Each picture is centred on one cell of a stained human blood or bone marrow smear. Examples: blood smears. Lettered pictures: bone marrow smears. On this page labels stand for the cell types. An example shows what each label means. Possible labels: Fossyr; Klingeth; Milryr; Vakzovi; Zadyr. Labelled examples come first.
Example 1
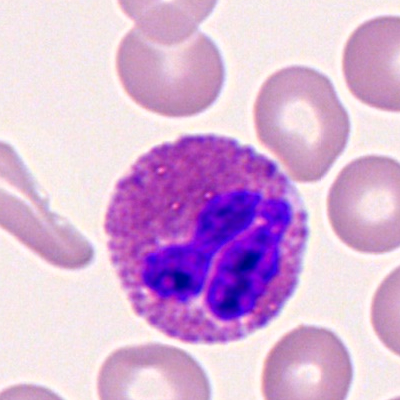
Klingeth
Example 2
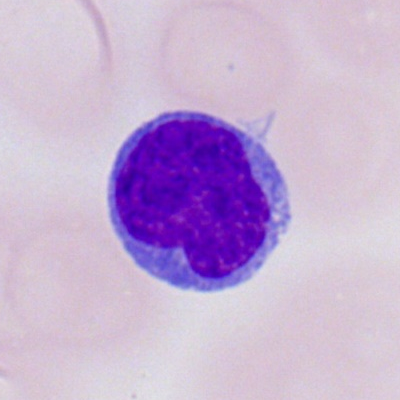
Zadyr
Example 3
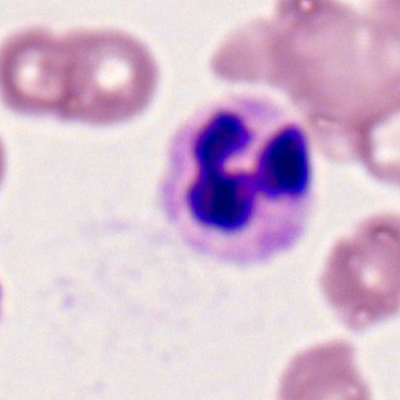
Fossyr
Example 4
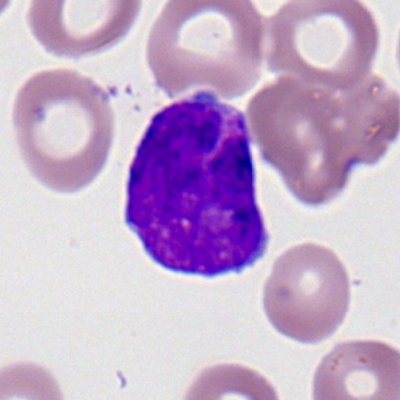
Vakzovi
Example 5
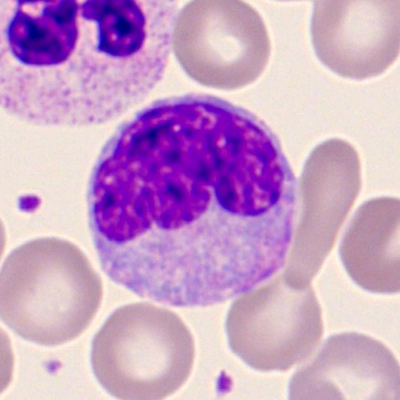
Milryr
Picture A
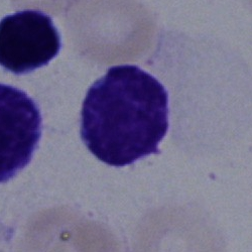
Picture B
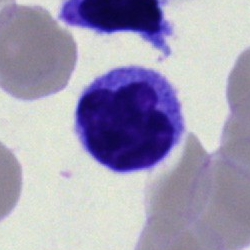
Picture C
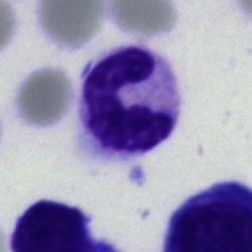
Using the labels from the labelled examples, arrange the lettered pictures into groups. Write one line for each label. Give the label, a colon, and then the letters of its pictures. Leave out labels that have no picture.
Fossyr: C
Zadyr: A, B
